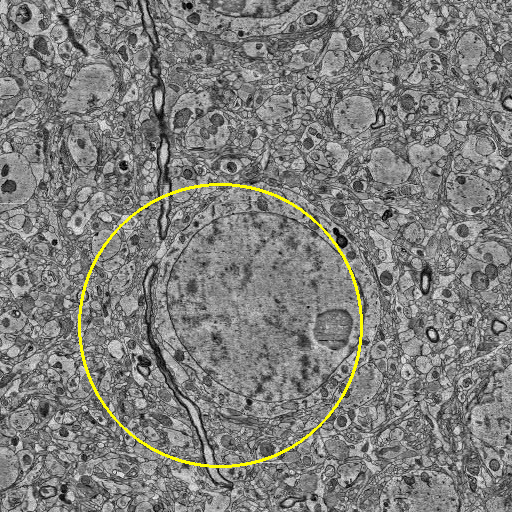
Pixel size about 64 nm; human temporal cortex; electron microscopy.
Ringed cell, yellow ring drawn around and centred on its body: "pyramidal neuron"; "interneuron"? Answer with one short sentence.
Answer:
This ringed cell is a pyramidal neuron.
